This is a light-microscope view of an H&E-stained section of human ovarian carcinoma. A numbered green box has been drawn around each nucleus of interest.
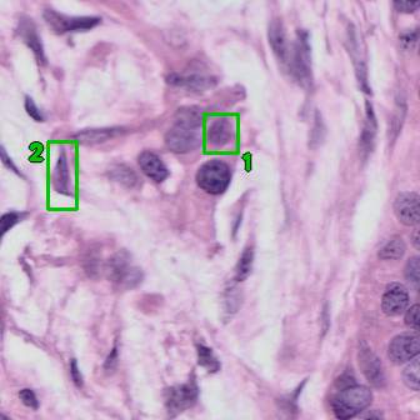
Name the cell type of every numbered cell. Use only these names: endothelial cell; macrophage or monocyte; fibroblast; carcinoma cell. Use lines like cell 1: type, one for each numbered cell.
cell 1: carcinoma cell
cell 2: fibroblast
